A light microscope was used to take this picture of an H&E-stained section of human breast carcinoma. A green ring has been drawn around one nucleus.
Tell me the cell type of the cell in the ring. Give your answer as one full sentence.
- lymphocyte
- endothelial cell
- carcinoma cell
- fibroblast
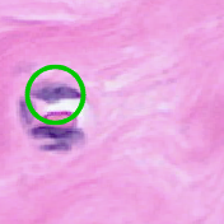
Within this tissue, the cell in the ring is an endothelial cell.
